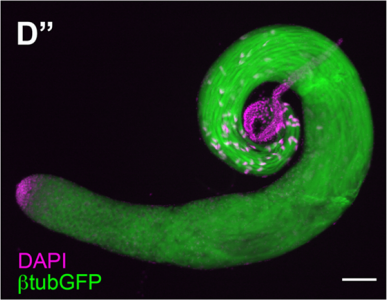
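The coiled tube is filled with green, finely striated material running along its length, with a bright magenta cap of small nuclei at the closed end of the tube. At the inner end of the coil, clusters of magenta nuclei and scattered larger nuclei lie around a small sac and a narrow duct. The green striations are mature sperm bundles, the apical nuclei germline stem cells, and the inner nuclei belong to sperm bundles at the basal end and to the somatic epithelial cells of the terminal epithelium and seminal vesicles.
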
